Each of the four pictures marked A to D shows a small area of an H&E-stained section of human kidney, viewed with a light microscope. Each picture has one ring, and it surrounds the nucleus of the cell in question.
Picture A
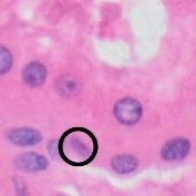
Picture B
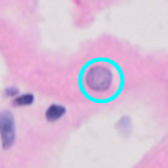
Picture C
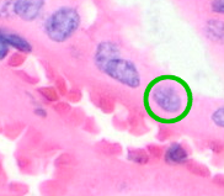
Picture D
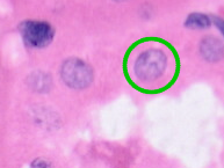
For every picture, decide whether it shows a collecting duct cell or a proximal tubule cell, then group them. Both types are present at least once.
A: collecting duct cell
B: proximal tubule cell
C: collecting duct cell
D: proximal tubule cell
